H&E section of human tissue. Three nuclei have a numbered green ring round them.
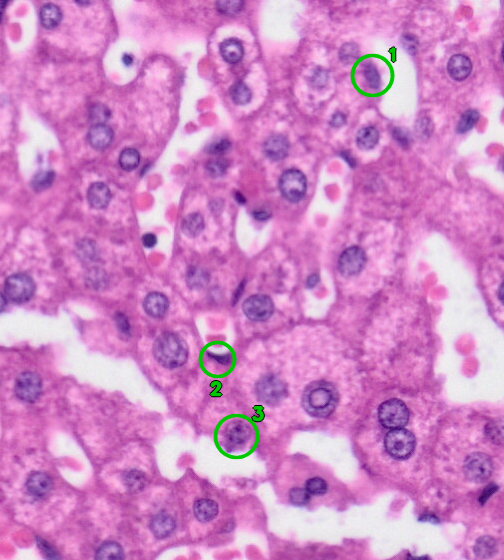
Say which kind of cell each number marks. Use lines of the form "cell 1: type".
cell 1: Kupffer cell
cell 2: endothelial cell
cell 3: hepatocyte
